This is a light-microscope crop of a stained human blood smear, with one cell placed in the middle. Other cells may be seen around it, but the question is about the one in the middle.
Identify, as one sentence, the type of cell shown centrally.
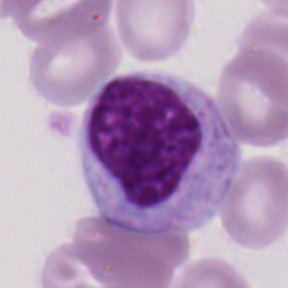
Where the crop is centred, there is a metamyelocyte.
